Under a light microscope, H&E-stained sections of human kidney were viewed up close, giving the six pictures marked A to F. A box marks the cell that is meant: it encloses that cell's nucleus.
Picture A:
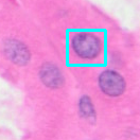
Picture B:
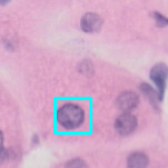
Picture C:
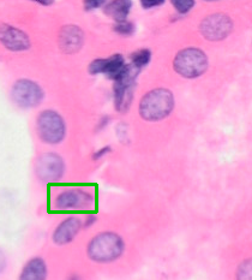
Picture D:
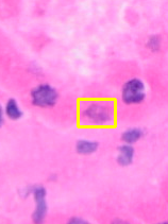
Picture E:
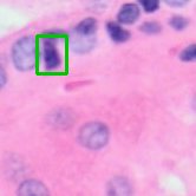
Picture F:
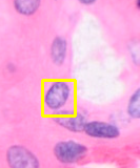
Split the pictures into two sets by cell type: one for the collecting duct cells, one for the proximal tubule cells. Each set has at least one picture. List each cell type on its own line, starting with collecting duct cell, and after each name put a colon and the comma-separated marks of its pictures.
collecting duct cell: C, E, F
proximal tubule cell: A, B, D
